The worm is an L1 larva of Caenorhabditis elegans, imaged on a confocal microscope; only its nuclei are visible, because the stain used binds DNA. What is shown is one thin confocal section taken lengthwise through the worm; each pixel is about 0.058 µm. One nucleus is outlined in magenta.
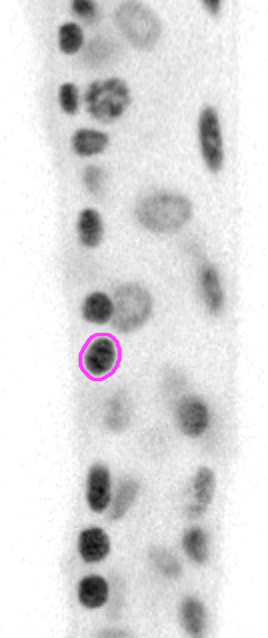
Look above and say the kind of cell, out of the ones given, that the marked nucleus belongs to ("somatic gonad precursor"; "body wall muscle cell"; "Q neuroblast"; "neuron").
neuron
